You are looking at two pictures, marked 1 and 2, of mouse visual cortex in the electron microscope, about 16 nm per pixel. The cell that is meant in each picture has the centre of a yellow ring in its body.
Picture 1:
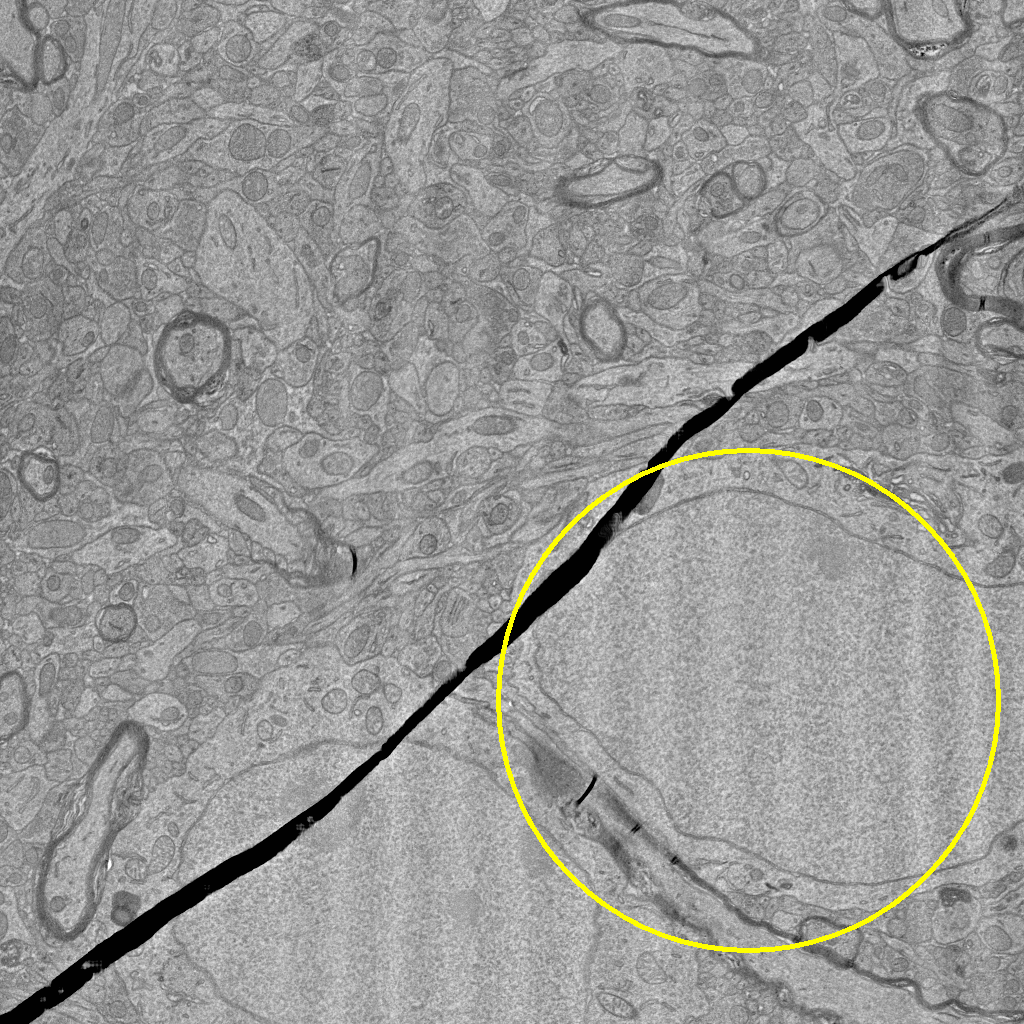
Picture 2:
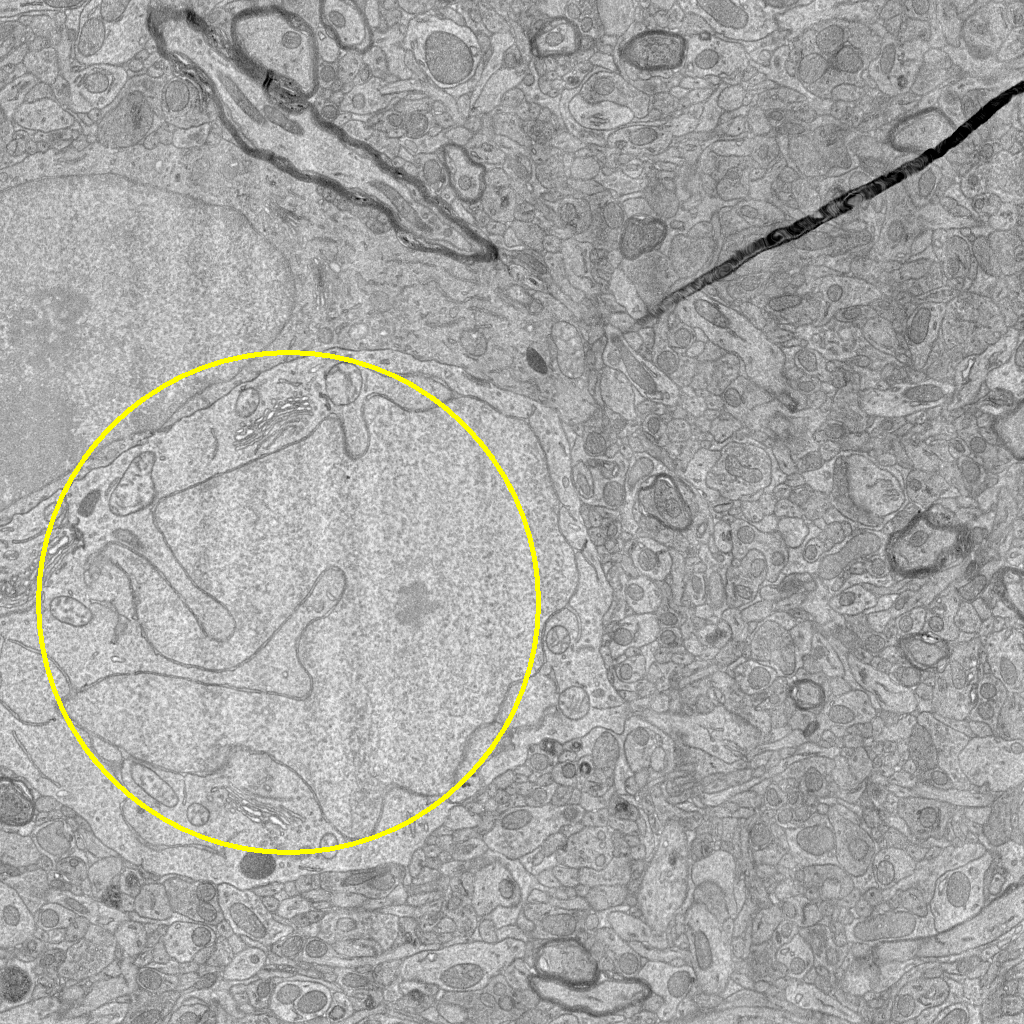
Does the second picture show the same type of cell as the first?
No, they differ: the cell is an excitatory neuron in picture 1 and an inhibitory neuron in picture 2.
